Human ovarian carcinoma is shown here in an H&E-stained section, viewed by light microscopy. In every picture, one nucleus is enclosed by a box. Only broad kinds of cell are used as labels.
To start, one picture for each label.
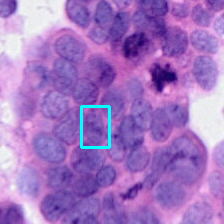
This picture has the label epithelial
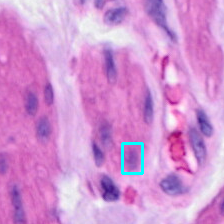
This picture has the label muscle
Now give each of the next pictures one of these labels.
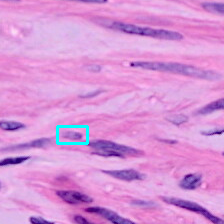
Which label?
muscle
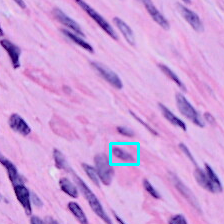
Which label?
muscle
